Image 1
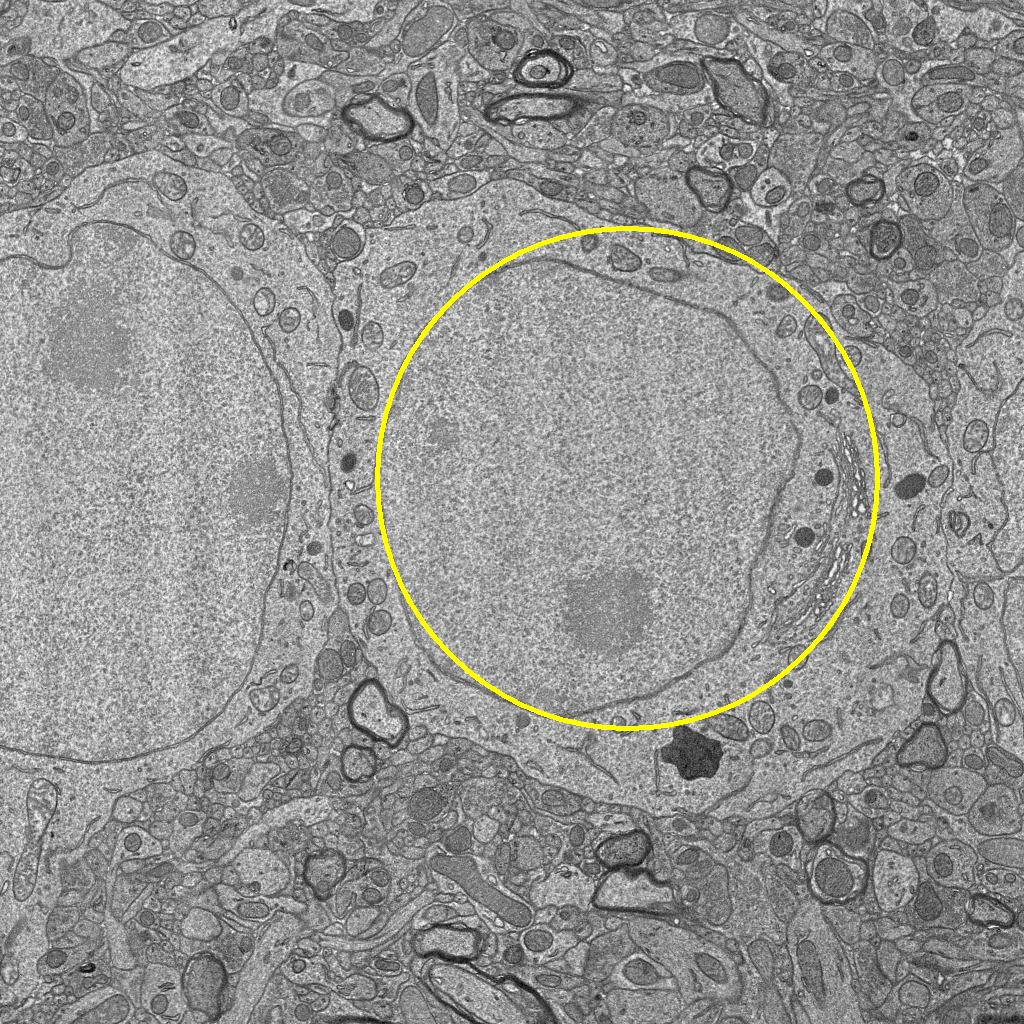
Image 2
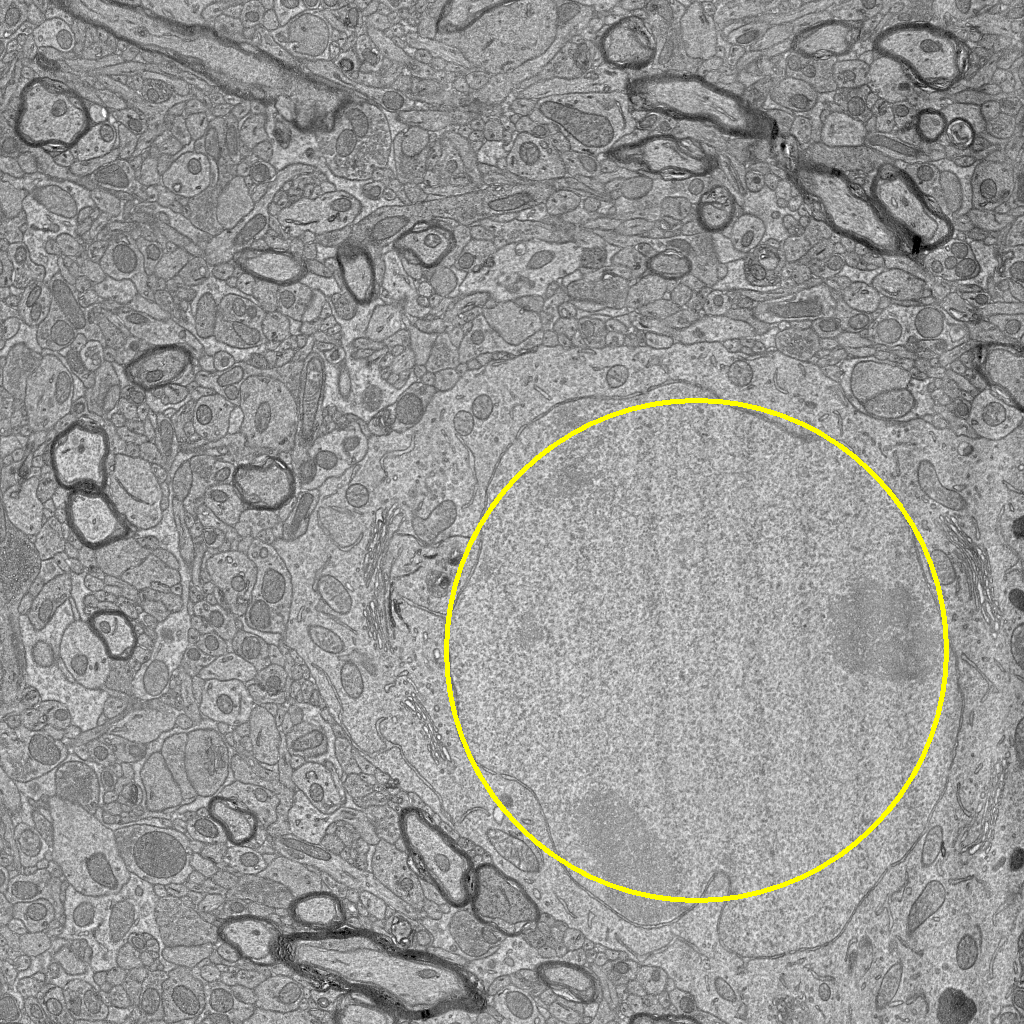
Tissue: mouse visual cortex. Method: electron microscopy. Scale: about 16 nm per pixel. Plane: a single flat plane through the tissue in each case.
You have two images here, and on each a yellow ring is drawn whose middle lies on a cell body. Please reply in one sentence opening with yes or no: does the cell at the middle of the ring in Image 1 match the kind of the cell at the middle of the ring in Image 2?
Yes, the two images show cells of one kind at the centres of their rings.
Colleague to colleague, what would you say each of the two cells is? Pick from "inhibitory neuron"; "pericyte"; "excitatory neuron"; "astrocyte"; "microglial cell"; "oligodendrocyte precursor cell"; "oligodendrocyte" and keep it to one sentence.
Both cells are the same kind, each one being an excitatory neuron.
